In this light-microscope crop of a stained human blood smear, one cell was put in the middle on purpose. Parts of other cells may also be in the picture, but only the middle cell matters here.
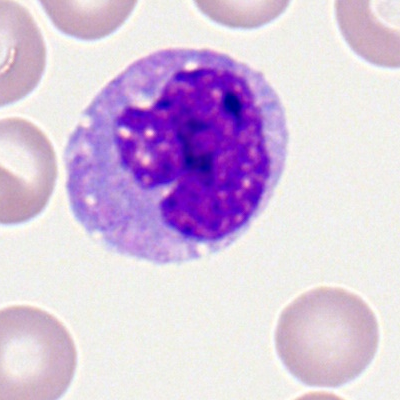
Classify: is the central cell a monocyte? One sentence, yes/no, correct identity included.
Yes, the middle cell is properly termed a monocyte.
